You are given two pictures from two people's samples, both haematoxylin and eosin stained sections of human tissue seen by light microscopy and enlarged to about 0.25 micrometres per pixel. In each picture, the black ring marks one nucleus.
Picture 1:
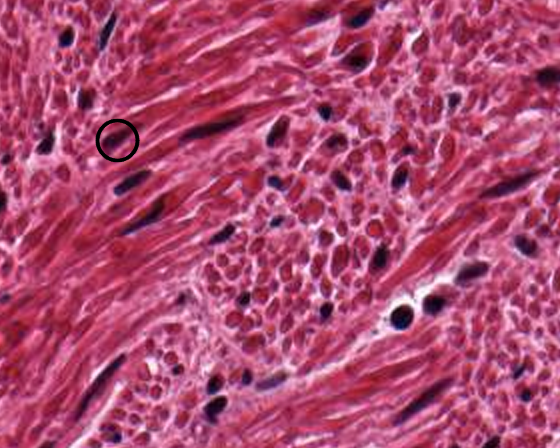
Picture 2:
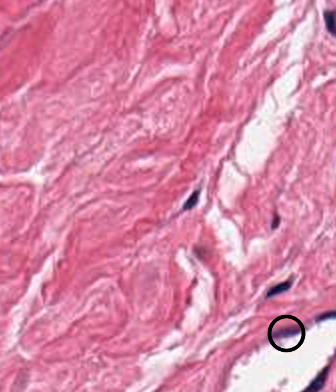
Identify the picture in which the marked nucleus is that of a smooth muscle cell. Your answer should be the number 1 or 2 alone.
1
